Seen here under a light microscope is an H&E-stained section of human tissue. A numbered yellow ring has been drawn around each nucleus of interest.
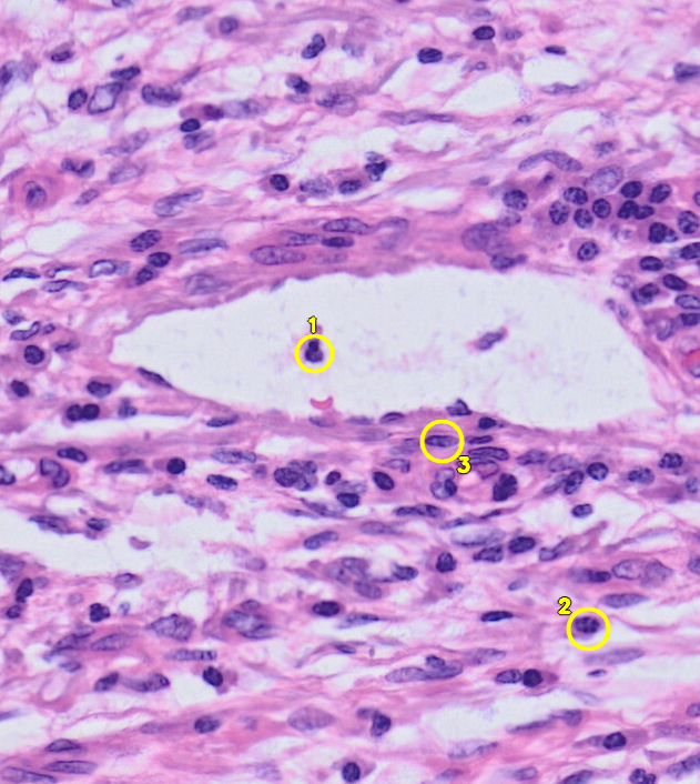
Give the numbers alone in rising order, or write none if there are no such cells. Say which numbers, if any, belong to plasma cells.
2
